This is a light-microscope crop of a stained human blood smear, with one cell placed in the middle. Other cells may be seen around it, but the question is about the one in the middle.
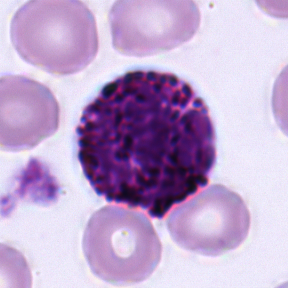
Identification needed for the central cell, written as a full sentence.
The cell occupying the middle of the crop is a basophil.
